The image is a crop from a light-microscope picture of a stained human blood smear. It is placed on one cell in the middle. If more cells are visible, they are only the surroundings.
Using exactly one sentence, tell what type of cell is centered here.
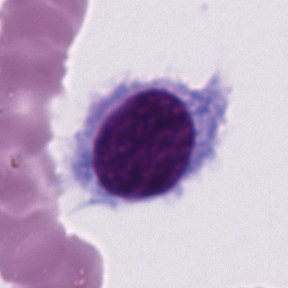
The middle of this crop is occupied by a hairy cell.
